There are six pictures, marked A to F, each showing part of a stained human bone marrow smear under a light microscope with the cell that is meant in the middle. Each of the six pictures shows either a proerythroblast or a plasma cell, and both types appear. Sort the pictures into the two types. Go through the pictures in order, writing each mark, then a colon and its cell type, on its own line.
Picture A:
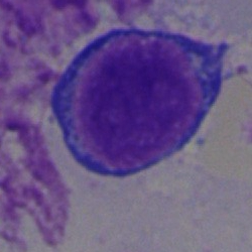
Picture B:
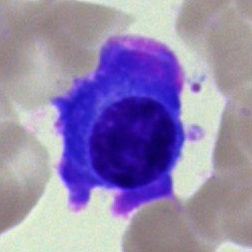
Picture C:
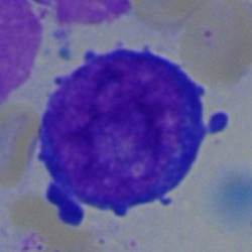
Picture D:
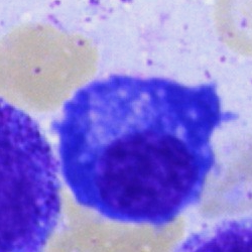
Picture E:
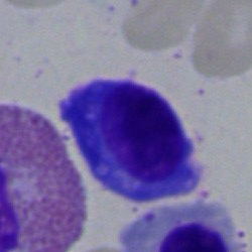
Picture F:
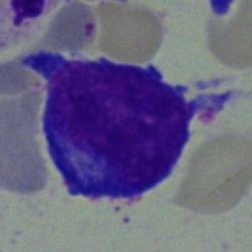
A: proerythroblast
B: plasma cell
C: proerythroblast
D: plasma cell
E: plasma cell
F: proerythroblast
